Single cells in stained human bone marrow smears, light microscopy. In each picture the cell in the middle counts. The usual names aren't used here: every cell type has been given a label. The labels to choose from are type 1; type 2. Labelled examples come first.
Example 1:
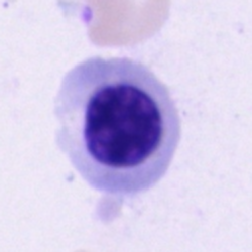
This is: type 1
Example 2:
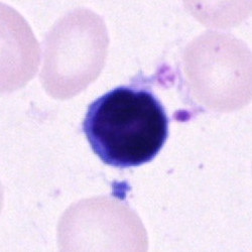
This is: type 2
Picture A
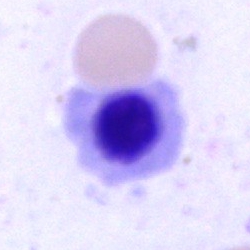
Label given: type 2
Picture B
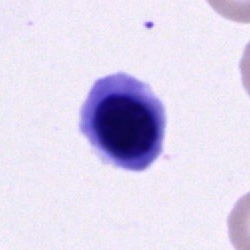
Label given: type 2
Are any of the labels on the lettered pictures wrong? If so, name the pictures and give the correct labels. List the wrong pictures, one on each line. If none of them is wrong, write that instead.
A: change type 2 to type 1
B: change type 2 to type 1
